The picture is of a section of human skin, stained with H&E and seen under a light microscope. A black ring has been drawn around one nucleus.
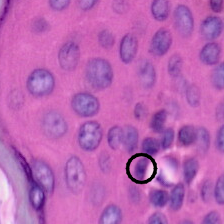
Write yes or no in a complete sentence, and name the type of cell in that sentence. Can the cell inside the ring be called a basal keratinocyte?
Yes, the cell inside the ring has been identified as a basal keratinocyte.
